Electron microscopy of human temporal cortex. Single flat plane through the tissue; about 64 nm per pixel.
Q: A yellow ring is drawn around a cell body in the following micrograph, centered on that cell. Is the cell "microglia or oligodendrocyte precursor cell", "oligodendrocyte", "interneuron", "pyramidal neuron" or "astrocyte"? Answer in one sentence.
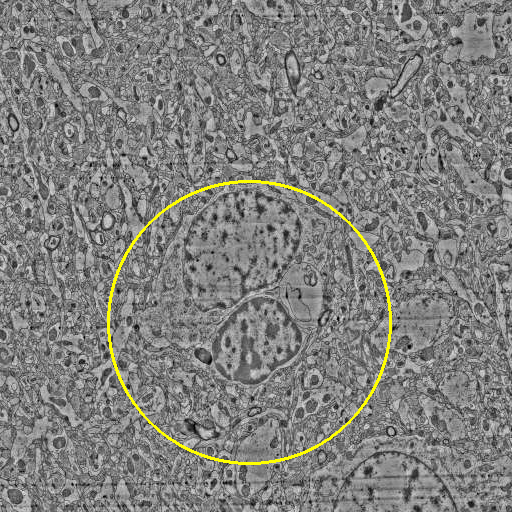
The cell in the center of the ring is a microglial cell or oligodendrocyte precursor cell.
